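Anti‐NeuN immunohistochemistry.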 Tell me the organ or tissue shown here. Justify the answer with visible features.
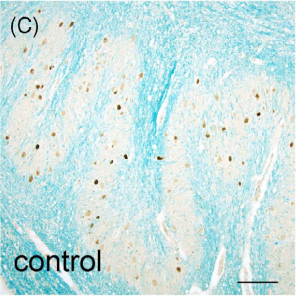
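Inferior olivary nucleus. Pale, folded ribbons of gray matter separated by blue-stained fiber bundles. Brown-stained nuclei scattered within the pale ribbons.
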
